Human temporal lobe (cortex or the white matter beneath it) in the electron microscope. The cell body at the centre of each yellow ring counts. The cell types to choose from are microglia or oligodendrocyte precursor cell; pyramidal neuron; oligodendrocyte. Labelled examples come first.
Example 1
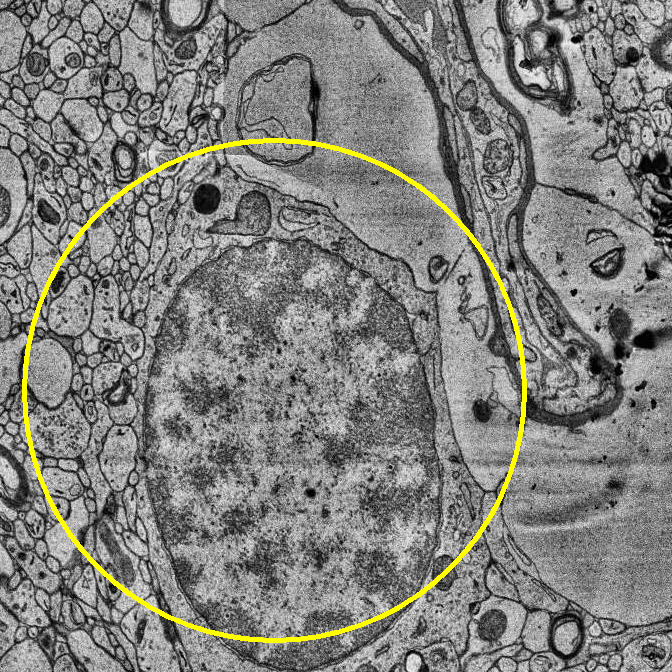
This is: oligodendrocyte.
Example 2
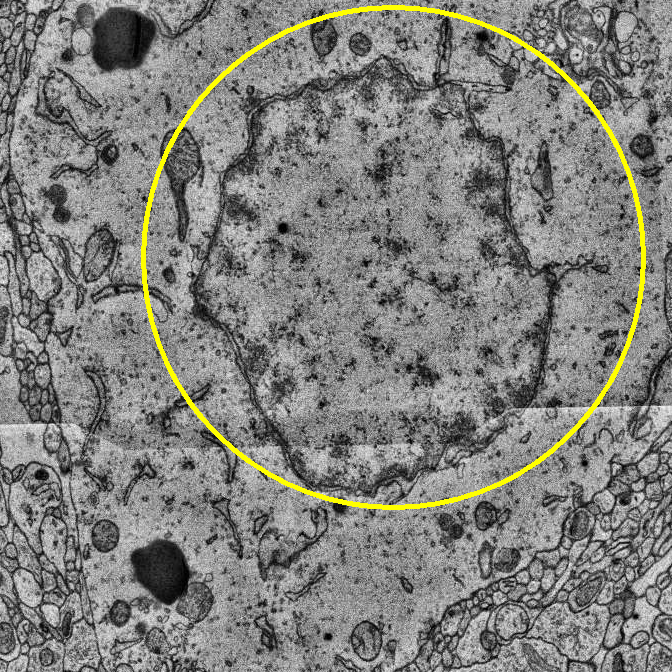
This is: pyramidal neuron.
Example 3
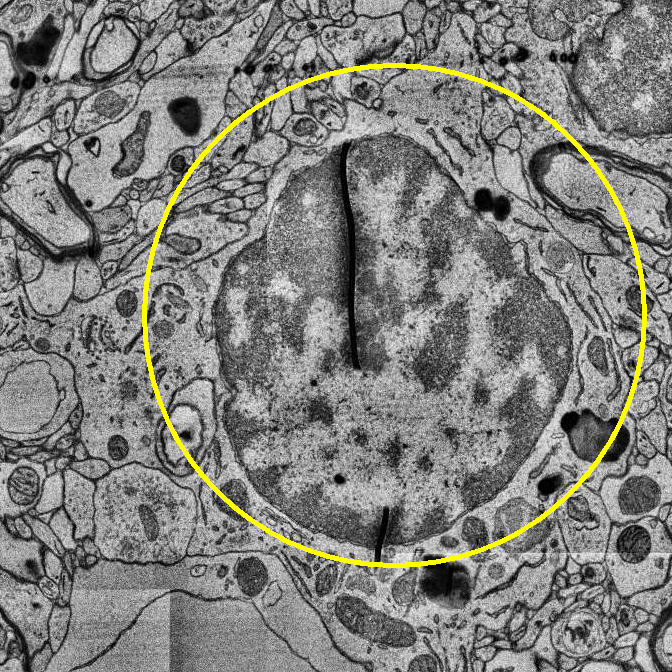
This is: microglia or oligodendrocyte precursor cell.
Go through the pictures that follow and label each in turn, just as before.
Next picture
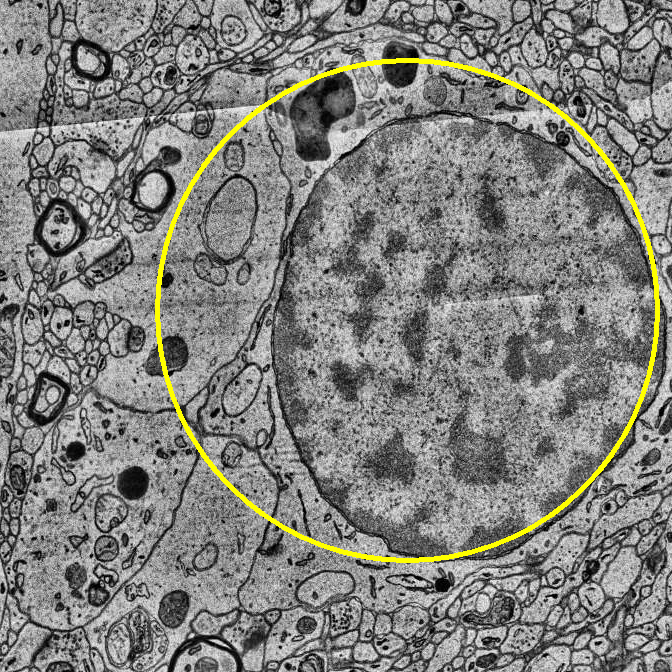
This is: microglia or oligodendrocyte precursor cell.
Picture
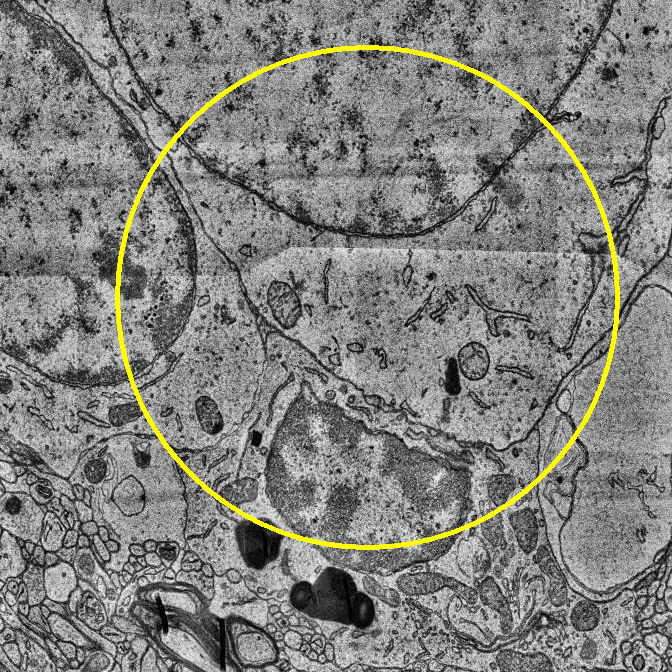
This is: microglia or oligodendrocyte precursor cell.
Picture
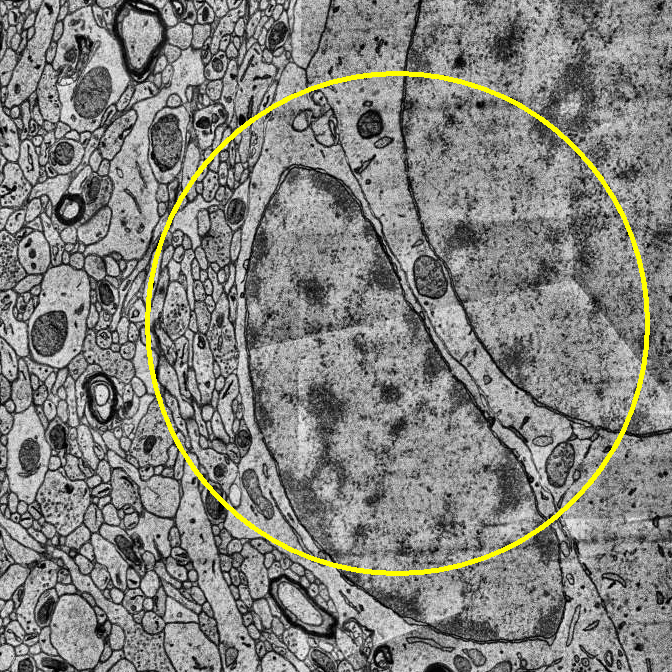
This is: microglia or oligodendrocyte precursor cell.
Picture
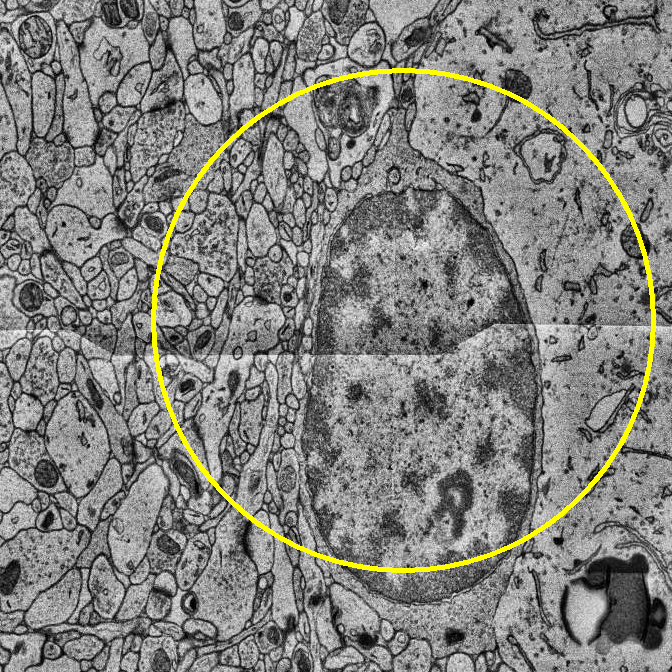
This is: oligodendrocyte.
